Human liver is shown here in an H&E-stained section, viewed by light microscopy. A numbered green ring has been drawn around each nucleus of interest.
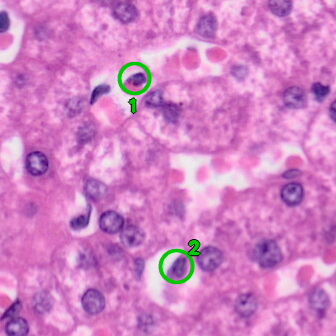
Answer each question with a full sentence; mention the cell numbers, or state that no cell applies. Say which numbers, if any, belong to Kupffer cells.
With the exception of cell 2, no marked cell is a Kupffer cell.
